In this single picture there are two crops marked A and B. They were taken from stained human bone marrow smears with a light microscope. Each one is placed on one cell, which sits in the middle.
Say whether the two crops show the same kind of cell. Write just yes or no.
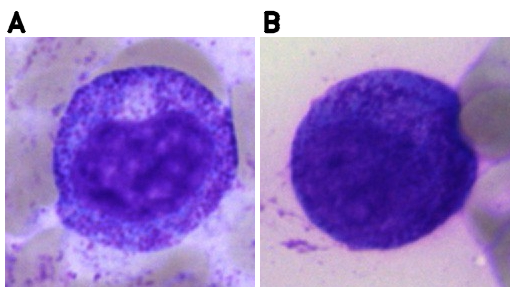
yes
